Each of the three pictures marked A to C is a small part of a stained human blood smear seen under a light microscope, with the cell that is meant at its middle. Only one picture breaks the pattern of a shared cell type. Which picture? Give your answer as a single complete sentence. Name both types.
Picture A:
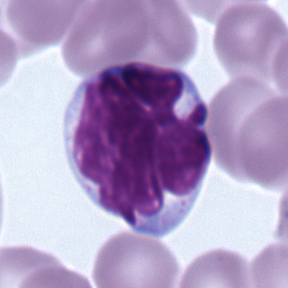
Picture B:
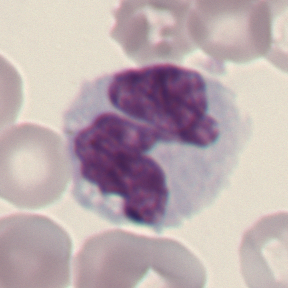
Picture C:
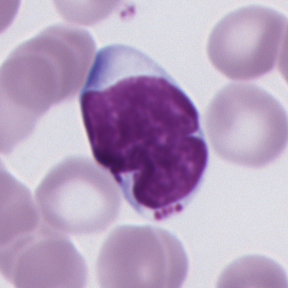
The others show large granular lymphocytes, but picture B shows a monocyte.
